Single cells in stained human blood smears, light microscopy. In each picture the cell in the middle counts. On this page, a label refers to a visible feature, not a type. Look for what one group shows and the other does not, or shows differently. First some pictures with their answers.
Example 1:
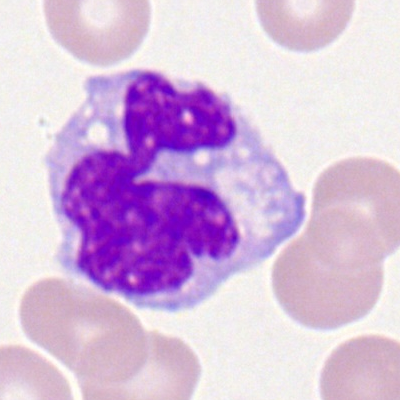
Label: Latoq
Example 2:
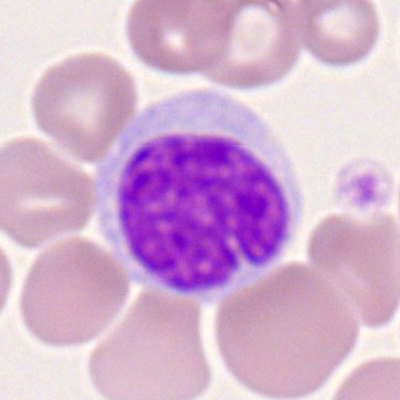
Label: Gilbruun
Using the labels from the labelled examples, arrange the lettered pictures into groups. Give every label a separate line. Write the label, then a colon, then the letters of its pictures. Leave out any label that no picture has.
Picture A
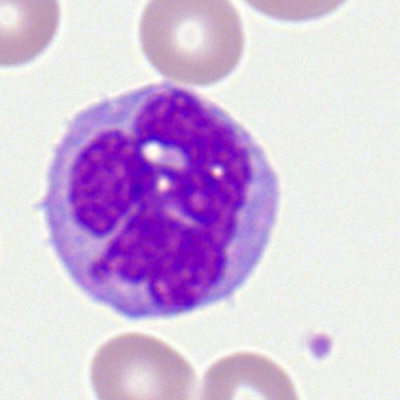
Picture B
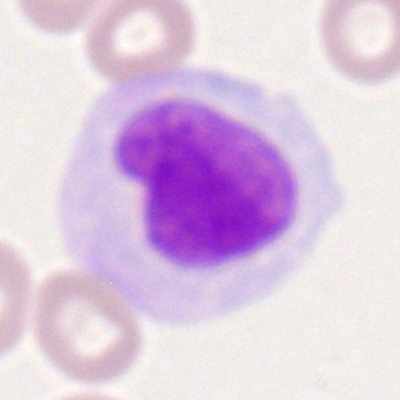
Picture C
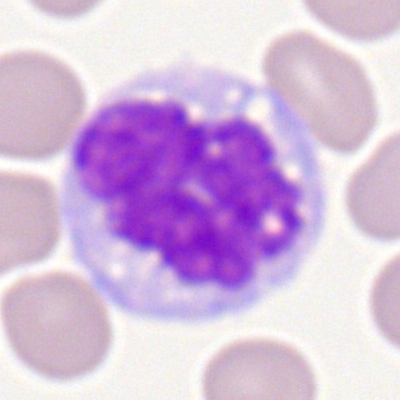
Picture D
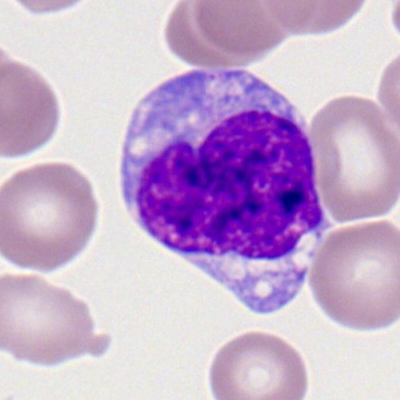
Latoq: A, C
Gilbruun: B, D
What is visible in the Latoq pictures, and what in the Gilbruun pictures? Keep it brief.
Latoq: lobed nucleus; Gilbruun: single compact nucleus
